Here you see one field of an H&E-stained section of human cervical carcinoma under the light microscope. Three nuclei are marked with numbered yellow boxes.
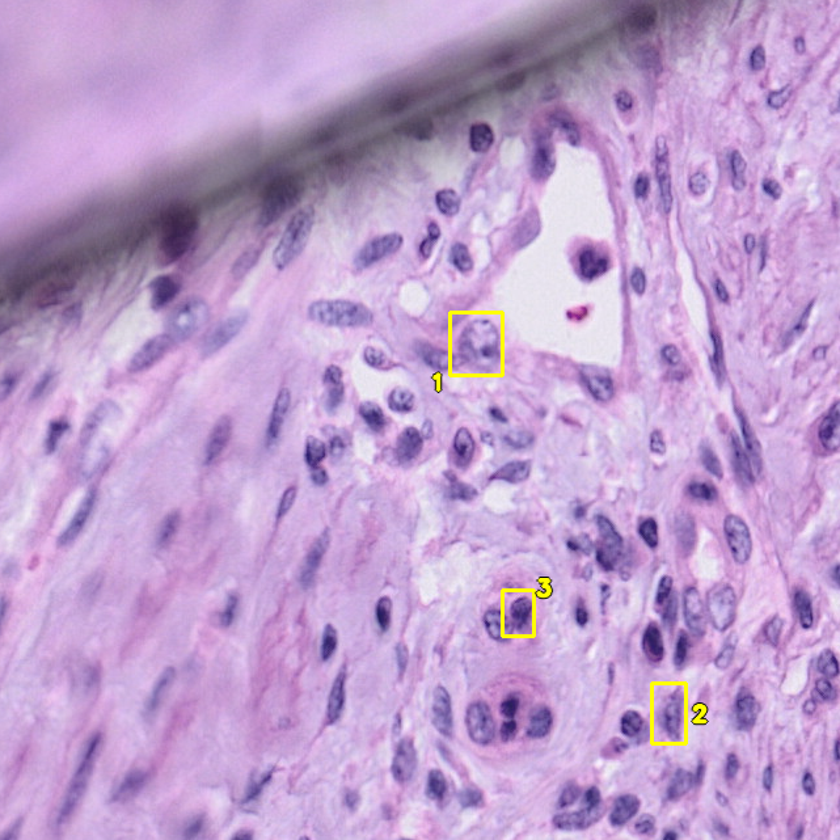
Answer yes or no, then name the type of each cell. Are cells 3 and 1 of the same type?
Yes, both are endothelial cells.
